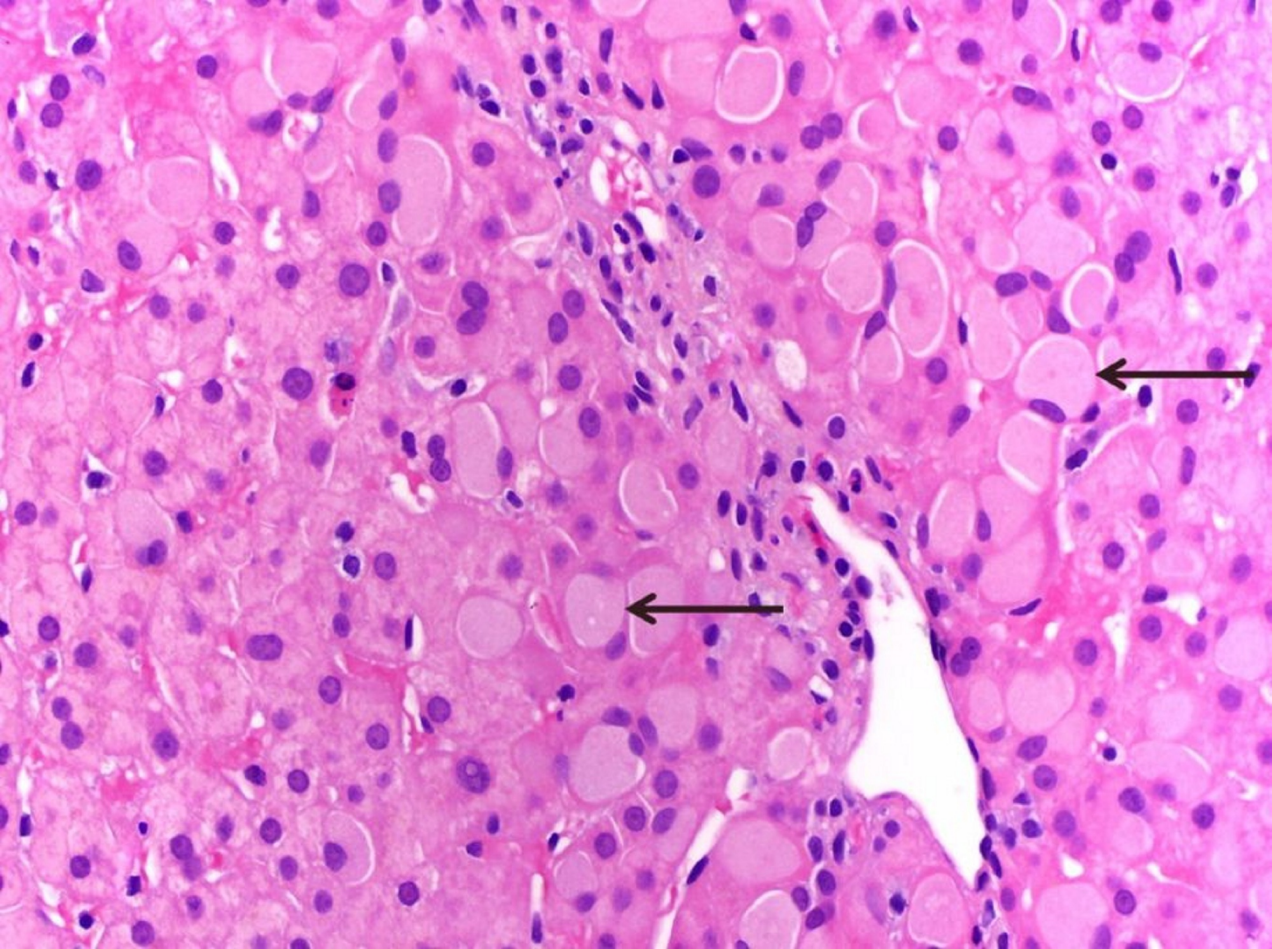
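This is liver parenchyma made of sheets of large polygonal hepatocytes, which lie beside a small portal tract. The portal tract holds a vessel and a scatter of small cells with dark nuclei. Many hepatocytes contain a single large, round, pale pink, glassy inclusion that fills much of the cytoplasm. The inclusion is often rimmed by a thin clear halo and pushes the nucleus to one side of the cell. The remaining hepatocytes have finely granular pink cytoplasm and round central nuclei.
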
